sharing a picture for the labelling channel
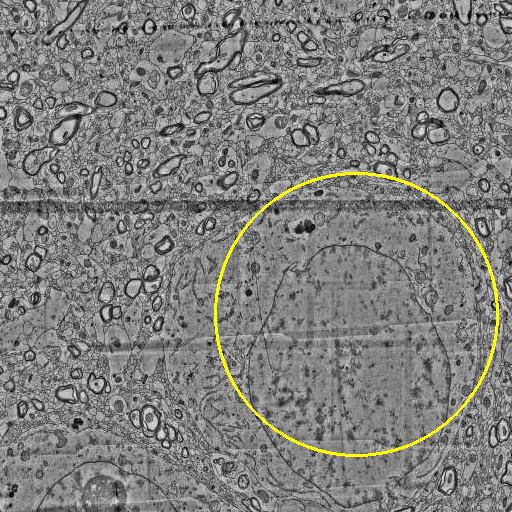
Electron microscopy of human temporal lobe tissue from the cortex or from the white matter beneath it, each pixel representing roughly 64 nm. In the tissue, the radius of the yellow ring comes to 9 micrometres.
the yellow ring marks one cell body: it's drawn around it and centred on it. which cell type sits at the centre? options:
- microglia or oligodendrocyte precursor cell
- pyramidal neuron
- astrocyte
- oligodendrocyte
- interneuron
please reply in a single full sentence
In the picture, the cell at the ring's centre is a pyramidal neuron, going by the list.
